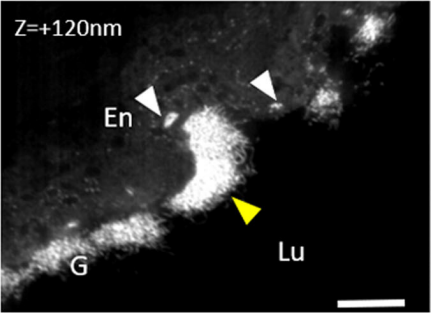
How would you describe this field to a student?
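A grey, finely textured endothelial cell layer runs diagonally across the field, bordering a dark, empty lumen below. Along the surface facing the lumen lies a thick, bright white coat of densely packed fuzzy, filamentous material, heaped into a large mound at the centre. Within the grey cell layer, a few small bright bodies stand apart from the surface coat and contain the same bright material.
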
